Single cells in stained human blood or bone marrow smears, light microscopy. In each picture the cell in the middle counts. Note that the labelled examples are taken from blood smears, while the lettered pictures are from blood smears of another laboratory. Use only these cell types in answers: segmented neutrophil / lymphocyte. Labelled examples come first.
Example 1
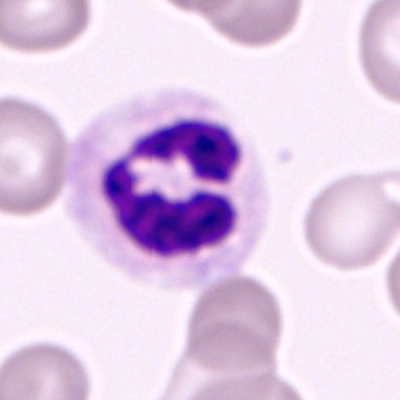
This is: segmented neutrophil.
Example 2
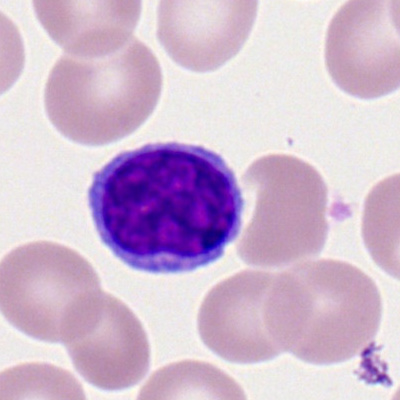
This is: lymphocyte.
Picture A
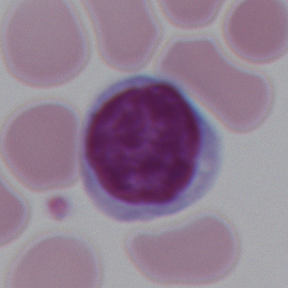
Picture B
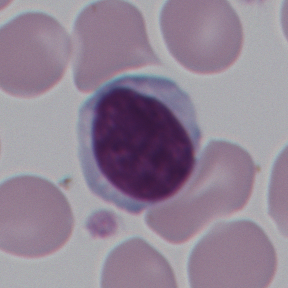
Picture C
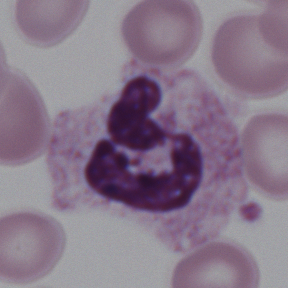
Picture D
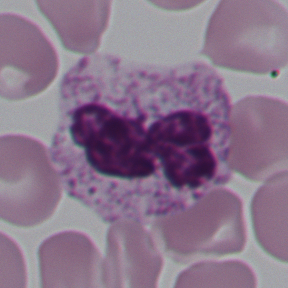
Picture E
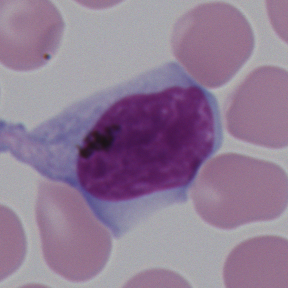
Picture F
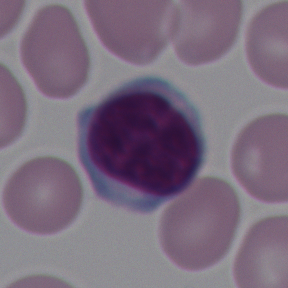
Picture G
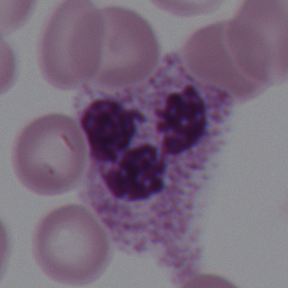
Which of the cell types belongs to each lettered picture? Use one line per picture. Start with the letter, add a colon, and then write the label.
A: lymphocyte.
B: lymphocyte.
C: segmented neutrophil.
D: segmented neutrophil.
E: lymphocyte.
F: lymphocyte.
G: segmented neutrophil.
